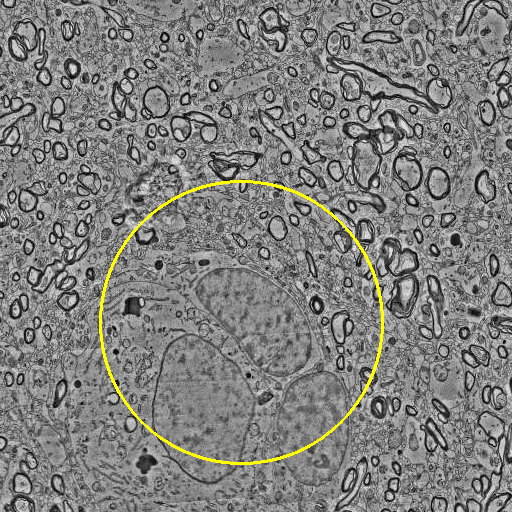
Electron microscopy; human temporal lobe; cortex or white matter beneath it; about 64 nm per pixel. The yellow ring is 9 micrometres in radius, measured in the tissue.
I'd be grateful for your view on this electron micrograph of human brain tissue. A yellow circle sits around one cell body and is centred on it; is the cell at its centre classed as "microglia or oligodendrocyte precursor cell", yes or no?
yes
